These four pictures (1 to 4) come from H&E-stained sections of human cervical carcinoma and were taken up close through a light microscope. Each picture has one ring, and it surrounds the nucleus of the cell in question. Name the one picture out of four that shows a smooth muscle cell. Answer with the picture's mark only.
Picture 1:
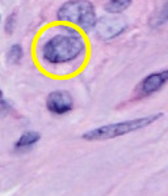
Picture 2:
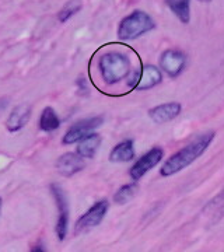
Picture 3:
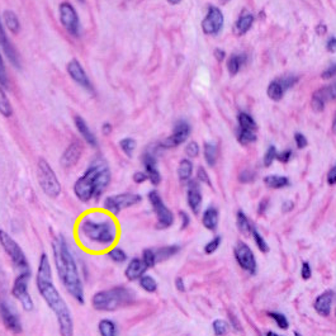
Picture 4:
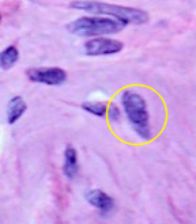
3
